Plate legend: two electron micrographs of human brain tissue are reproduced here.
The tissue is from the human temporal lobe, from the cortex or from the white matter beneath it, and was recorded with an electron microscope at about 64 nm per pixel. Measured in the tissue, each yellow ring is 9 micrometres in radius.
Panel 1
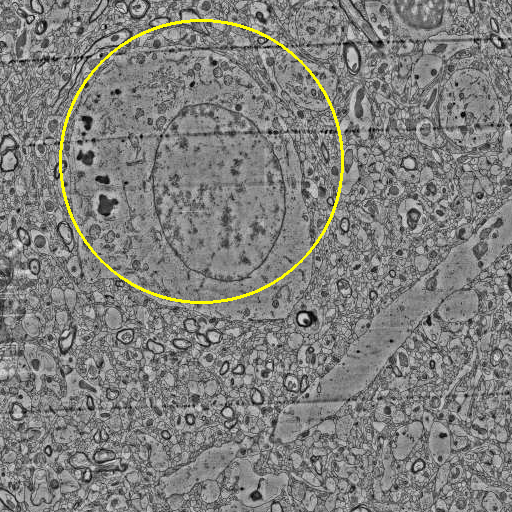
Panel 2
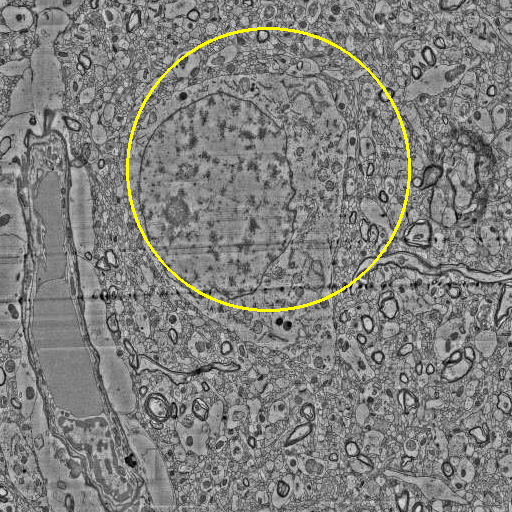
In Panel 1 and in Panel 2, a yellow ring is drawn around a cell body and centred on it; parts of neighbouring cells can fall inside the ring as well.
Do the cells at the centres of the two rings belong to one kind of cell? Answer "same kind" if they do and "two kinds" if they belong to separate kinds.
same kind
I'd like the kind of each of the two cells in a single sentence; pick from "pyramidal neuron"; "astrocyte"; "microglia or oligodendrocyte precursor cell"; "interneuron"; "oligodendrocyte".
Each of the two rings surrounds a pyramidal neuron.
